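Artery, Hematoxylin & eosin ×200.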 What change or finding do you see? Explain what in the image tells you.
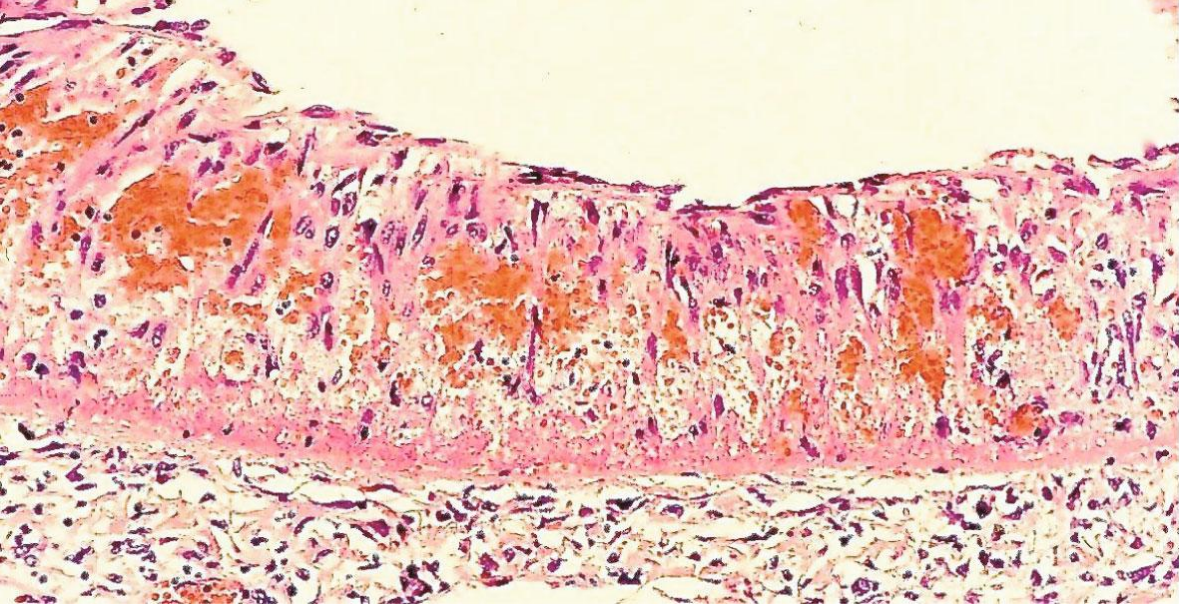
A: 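The arterial wall layer is loosened and vacuolated rather than compact. Scattered spindle-shaped nuclei lie within pale, disrupted tissue. Orange-red patches are spread through the disrupted layer. So: mediolysis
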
